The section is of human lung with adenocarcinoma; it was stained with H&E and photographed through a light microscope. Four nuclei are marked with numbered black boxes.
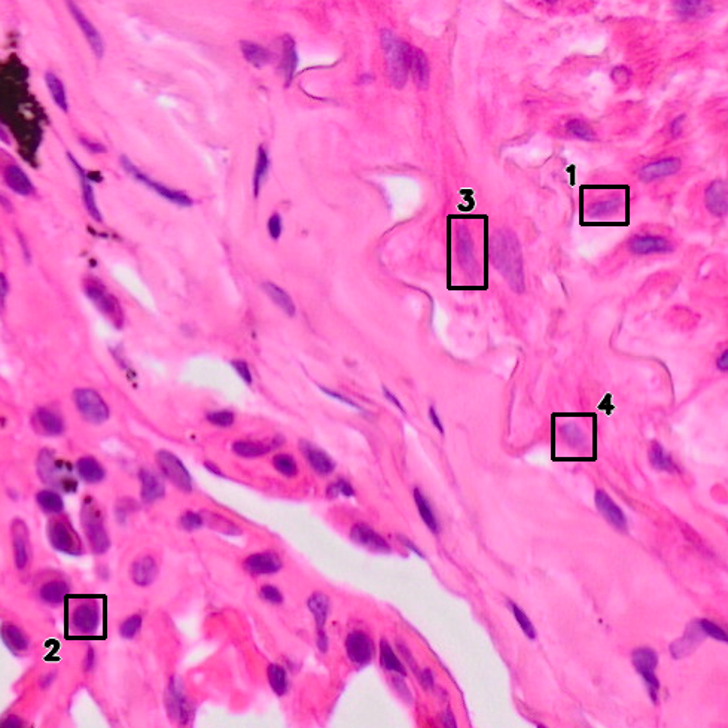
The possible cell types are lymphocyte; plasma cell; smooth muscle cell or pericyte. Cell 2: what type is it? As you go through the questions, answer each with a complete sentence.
The cell that goes by number 2 is a plasma cell.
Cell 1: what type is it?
The nucleus labeled 1 belongs to a smooth muscle cell or pericyte.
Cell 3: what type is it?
The cell referenced by the number 3 is a smooth muscle cell or pericyte in this field.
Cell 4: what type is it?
Marked with the number 4, this cell is a smooth muscle cell or pericyte.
